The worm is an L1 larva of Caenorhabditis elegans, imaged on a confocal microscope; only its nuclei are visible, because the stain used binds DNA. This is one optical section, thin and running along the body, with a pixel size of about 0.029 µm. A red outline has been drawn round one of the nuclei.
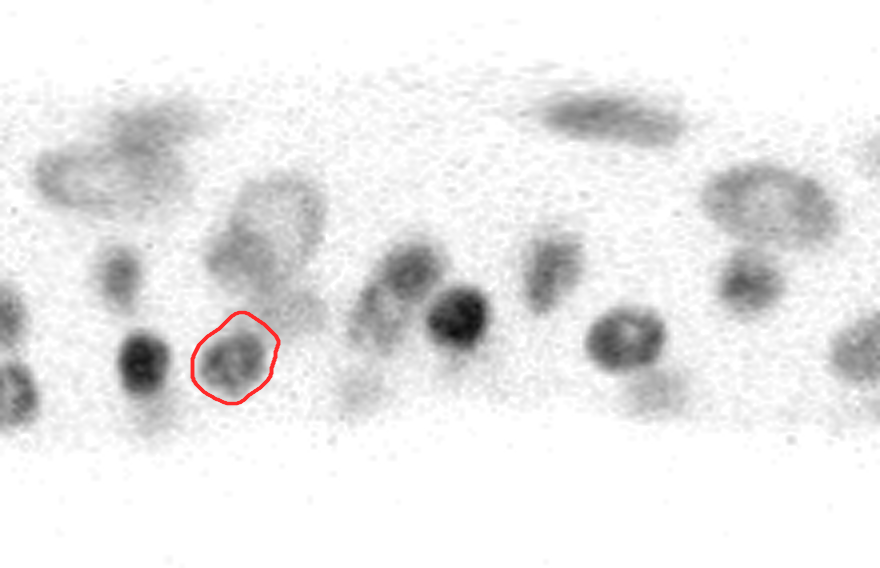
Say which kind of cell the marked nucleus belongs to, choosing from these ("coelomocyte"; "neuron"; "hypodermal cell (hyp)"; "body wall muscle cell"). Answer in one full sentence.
What is marked is the nucleus of a body wall muscle cell.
